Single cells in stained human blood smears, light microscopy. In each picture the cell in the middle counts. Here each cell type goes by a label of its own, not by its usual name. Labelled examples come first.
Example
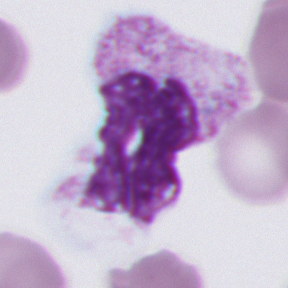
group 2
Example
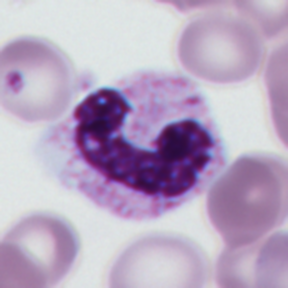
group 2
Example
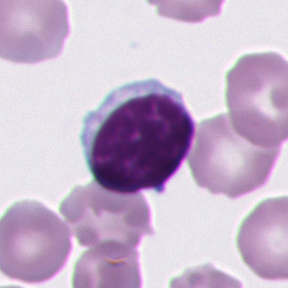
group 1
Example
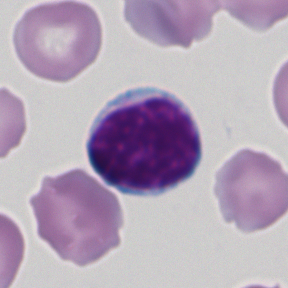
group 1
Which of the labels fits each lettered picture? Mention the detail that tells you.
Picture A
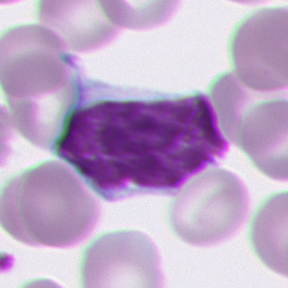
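group 1. Reason: The cytoplasm forms only a narrow rim, widest above the nucleus.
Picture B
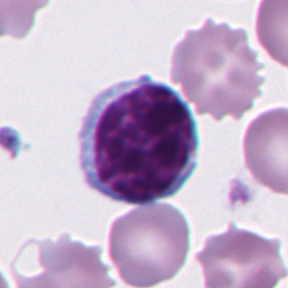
group 1. Reason: The cytoplasm forms a thin rim that is widest on the left side.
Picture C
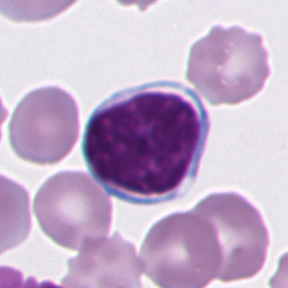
group 1. Reason: The cytoplasm forms only a thin rim around the nucleus.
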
